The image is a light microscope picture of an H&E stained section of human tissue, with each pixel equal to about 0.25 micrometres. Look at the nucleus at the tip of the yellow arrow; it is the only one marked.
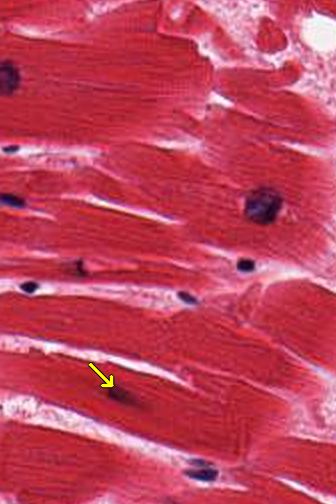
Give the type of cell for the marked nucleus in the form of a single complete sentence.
The marked nucleus belongs to a cardiomyocyte.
